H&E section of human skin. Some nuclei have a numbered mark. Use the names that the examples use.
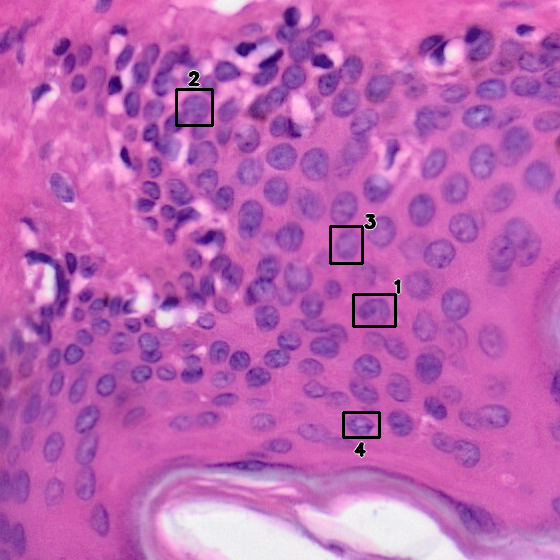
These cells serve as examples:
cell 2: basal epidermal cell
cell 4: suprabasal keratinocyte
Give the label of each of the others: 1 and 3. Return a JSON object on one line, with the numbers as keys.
{"1": "suprabasal keratinocyte", "3": "suprabasal keratinocyte"}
